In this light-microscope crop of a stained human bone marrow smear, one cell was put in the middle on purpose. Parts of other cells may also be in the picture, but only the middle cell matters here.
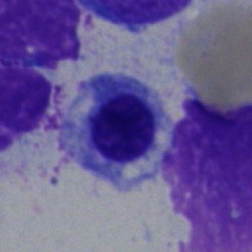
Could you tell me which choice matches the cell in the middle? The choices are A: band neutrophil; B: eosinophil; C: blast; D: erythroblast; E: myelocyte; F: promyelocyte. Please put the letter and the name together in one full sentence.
Option D gives the correct identity of the central cell, namely an erythroblast.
